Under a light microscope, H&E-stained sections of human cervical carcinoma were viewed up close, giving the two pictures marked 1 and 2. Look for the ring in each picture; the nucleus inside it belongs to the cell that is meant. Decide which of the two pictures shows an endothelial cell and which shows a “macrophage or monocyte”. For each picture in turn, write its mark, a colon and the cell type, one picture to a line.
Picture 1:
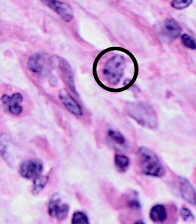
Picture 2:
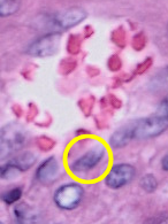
1: macrophage or monocyte
2: endothelial cell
